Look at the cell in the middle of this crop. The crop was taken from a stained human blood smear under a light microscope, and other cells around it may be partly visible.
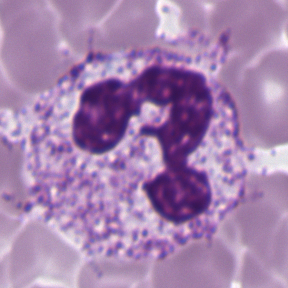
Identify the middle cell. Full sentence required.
The cell at the middle of the frame should be recorded as a neutrophil.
